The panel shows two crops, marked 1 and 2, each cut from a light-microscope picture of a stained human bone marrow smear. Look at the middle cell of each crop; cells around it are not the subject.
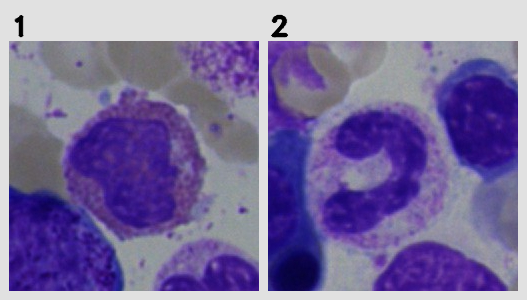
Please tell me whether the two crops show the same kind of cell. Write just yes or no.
no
